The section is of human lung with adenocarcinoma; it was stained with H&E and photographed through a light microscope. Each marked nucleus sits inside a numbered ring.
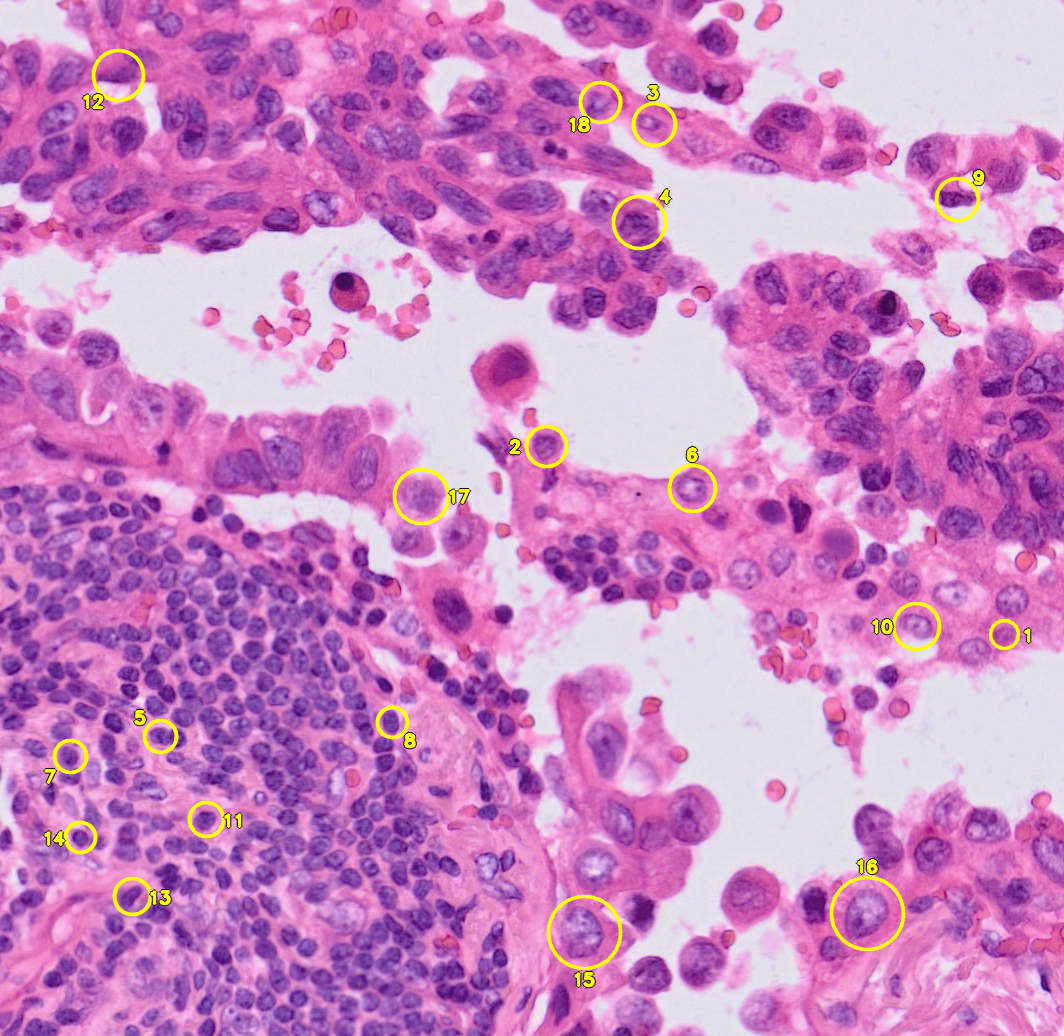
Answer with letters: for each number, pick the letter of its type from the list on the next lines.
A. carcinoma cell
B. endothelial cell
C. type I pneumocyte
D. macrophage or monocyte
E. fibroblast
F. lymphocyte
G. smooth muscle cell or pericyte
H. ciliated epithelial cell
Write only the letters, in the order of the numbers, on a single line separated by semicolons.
D; D; D; A; F; D; F; F; A; D; F; A; F; F; A; A; A; D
